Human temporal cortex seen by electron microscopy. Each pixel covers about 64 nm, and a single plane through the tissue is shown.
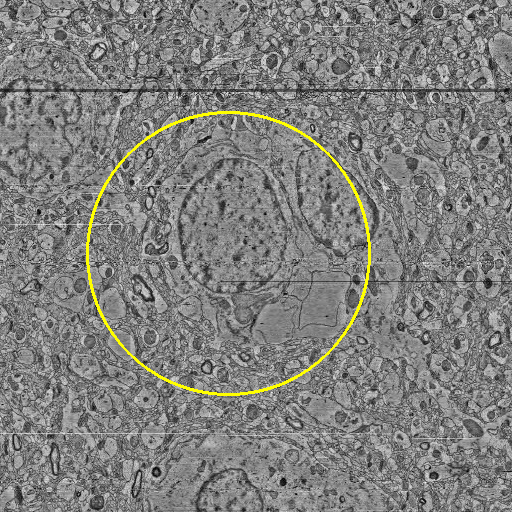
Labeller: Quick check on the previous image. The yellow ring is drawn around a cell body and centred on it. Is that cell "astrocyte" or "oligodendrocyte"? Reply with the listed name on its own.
astrocyte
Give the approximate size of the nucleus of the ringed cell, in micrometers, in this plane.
In this plane the nucleus spans approximately 9 by 7 micrometers.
